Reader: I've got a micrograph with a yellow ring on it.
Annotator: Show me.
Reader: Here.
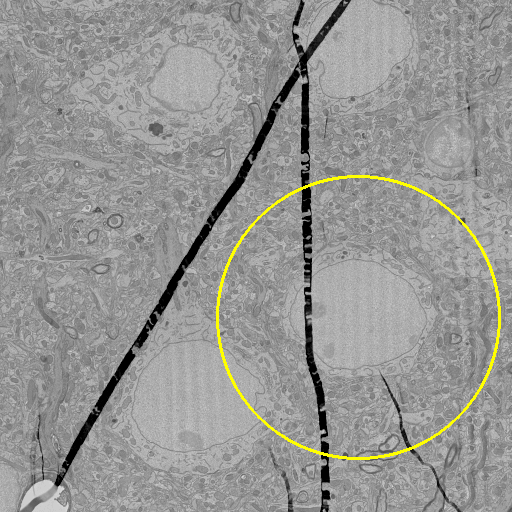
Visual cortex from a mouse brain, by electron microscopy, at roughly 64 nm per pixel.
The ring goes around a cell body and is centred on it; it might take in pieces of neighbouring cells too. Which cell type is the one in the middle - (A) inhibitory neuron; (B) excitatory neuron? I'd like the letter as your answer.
B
